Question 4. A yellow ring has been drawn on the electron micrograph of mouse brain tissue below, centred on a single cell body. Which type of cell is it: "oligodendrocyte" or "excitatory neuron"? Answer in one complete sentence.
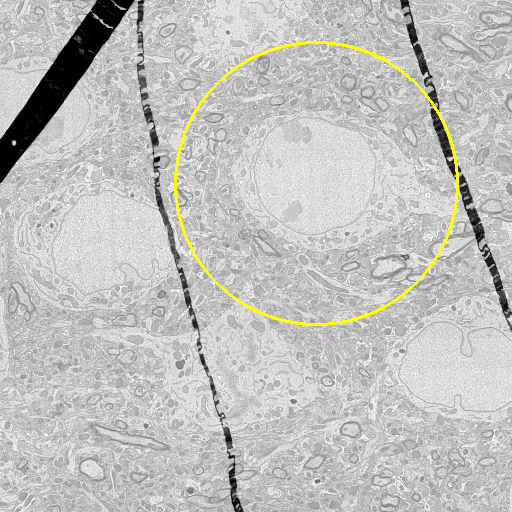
This cell body belongs to an excitatory neuron.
